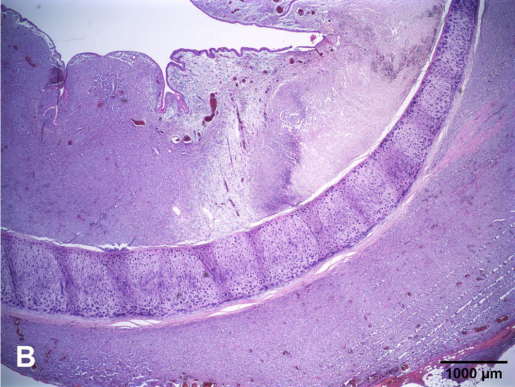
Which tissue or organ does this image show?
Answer: trachea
